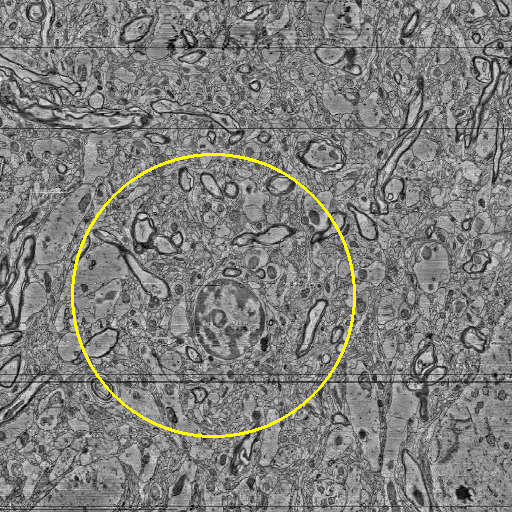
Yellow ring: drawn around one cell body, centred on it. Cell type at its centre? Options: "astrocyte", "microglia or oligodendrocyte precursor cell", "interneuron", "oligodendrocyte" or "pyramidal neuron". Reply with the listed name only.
microglia or oligodendrocyte precursor cell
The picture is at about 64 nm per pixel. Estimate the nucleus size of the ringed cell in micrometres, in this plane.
About 5 by 4 micrometers, in this plane.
